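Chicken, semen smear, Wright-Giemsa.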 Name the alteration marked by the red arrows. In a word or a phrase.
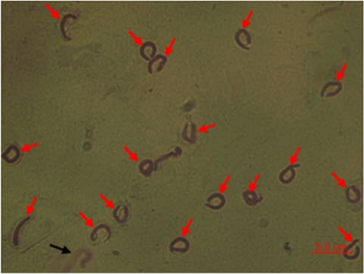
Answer: Abnormal spermatozoa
